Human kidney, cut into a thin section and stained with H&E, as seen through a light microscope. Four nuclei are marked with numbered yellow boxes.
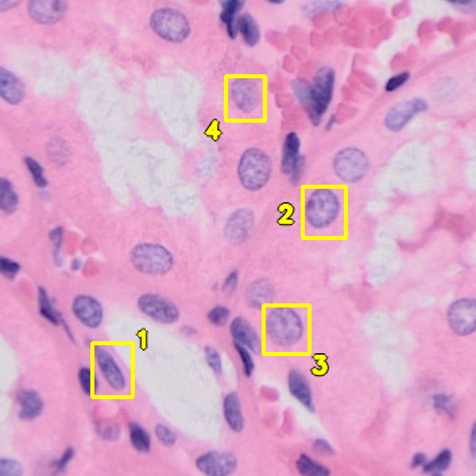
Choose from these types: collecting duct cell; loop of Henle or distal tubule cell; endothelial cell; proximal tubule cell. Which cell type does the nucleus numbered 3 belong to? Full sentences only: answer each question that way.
The cell given label 3 is a proximal tubule cell.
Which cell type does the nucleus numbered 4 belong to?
Of the numbered cells, the one labelled 4 is a proximal tubule cell.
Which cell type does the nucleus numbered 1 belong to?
As for number 1, that cell is a collecting duct cell.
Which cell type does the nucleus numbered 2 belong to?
Within this field of view, the cell labelled 2 is a proximal tubule cell.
